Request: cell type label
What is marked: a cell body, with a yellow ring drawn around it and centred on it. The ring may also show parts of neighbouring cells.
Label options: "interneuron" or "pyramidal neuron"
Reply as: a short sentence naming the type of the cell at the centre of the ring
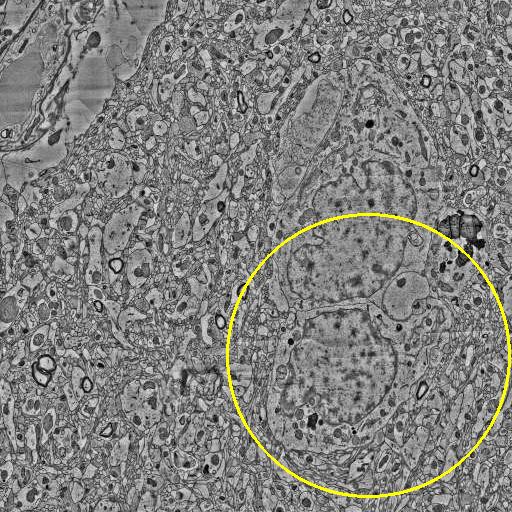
The marked cell body is that of an interneuron.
